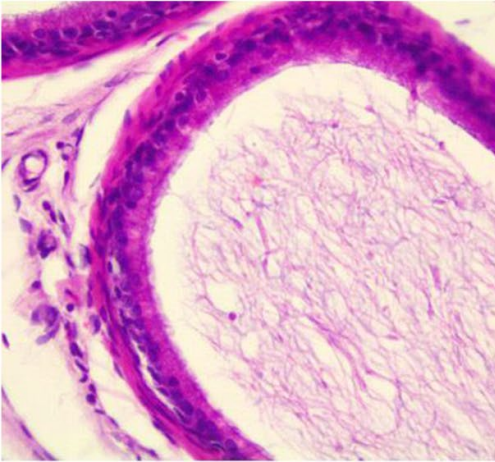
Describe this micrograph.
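A single epididymal duct is cut in cross-section and lined by a pseudostratified columnar epithelium. The lining is tall and deeply purple, with oval nuclei crowded at different heights, giving a layered look although the cells rest on one basement membrane. Small flattened nuclei lie at the base of the epithelium. The lumen is wide and filled with a pale pink, loose fibrillar mass. Outside the duct a thin layer of pink connective tissue with scattered nuclei and a small blood vessel separates it from a neighbouring duct, which is seen at the upper edge.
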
